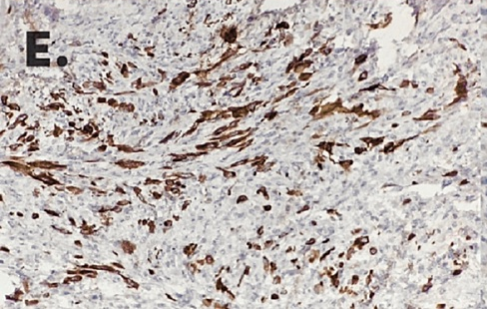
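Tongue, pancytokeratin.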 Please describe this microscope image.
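This view shows a spindle cell tumor in which many of the elongated tumor cells are stained brown against a pale blue background. The brown stain fills the cytoplasm of the cells, outlining their slender, drawn-out shapes. The stained cells are scattered and clustered irregularly, running in loosely oriented streams. Between them lie unstained cells with blue oval nuclei in a pale stroma.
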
